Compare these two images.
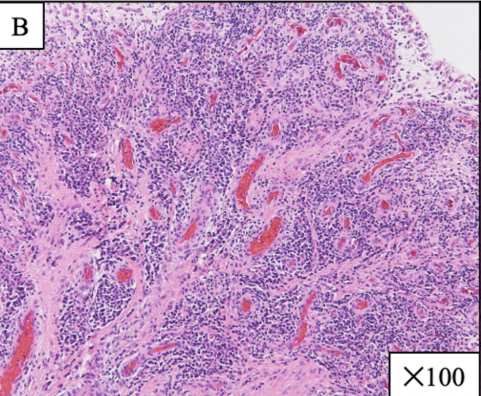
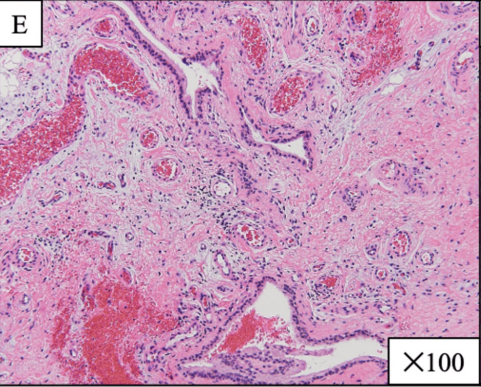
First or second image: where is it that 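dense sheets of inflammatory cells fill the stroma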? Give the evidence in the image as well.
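The first image. Second image: loose pink fibrous stroma with vessels and only scattered small nuclei. First image: crowded sheets of small dark round nuclei fill most of the field.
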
